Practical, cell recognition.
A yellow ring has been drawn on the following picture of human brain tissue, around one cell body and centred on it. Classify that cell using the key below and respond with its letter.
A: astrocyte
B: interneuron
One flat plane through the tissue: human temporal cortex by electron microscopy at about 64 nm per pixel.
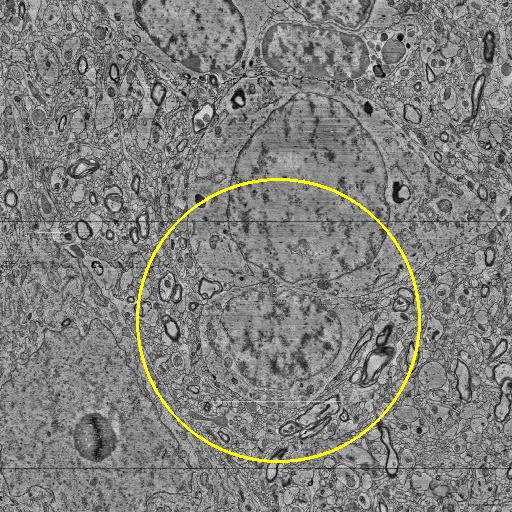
B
